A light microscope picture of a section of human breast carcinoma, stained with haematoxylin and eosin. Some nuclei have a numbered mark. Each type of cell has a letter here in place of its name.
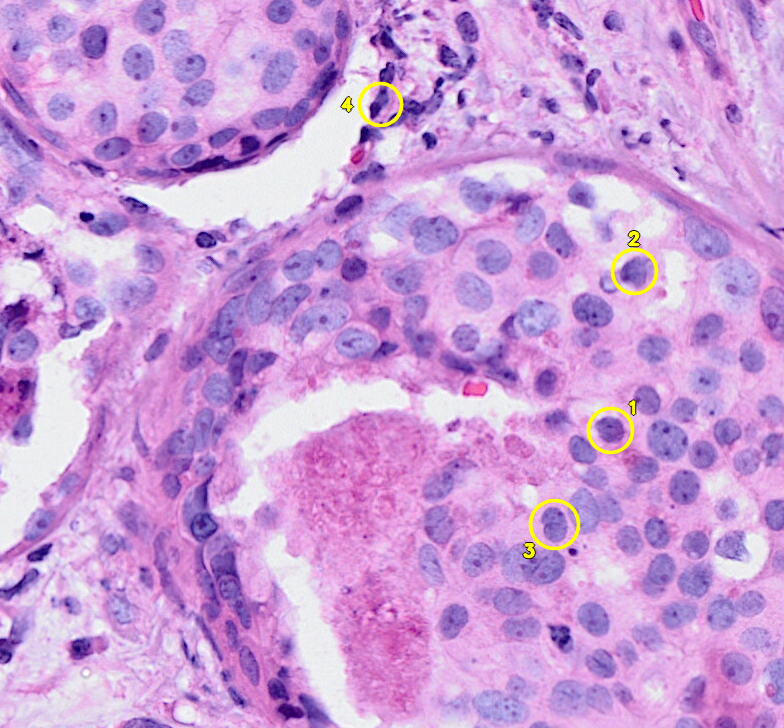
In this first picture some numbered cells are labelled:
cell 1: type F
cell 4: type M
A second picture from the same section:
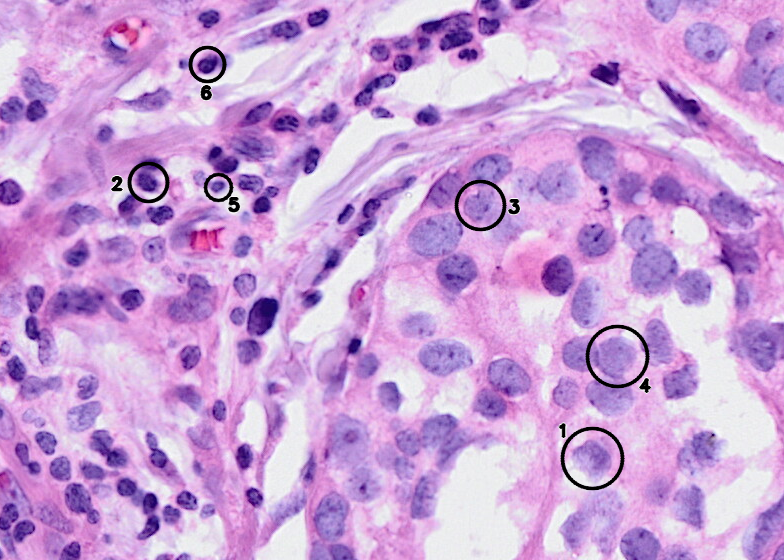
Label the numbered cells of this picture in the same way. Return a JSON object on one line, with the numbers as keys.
{"1": "type F", "2": "type M", "3": "type F", "4": "type F", "5": "type M", "6": "type M"}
